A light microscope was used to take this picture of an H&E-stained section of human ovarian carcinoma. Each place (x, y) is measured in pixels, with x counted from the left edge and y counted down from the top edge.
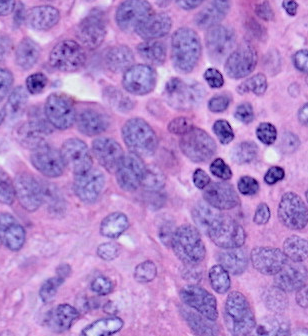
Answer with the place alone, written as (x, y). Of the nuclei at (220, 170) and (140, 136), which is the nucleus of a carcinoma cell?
(140, 136)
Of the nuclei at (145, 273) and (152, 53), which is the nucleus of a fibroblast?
(145, 273)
